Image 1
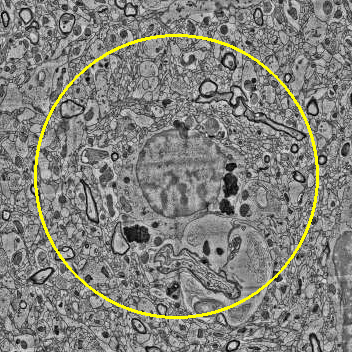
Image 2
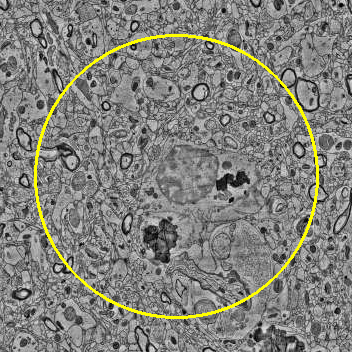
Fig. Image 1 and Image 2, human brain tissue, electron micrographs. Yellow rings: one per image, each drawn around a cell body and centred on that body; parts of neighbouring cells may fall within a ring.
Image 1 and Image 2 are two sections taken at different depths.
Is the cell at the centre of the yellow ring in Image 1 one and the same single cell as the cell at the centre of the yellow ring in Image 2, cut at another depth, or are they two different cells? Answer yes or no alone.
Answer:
yes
